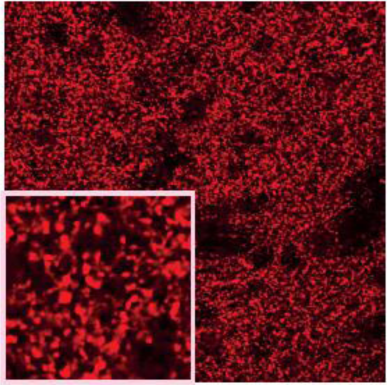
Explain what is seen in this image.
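The puncta are packed so closely that the field looks almost uniformly red and grainy. Scattered through the mesh are round or oval dark gaps of varying size where no red label lies. The enlarged inset shows the puncta as many small, irregular red dots and short beads crowded together, without any recognisable cell body or nucleus.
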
